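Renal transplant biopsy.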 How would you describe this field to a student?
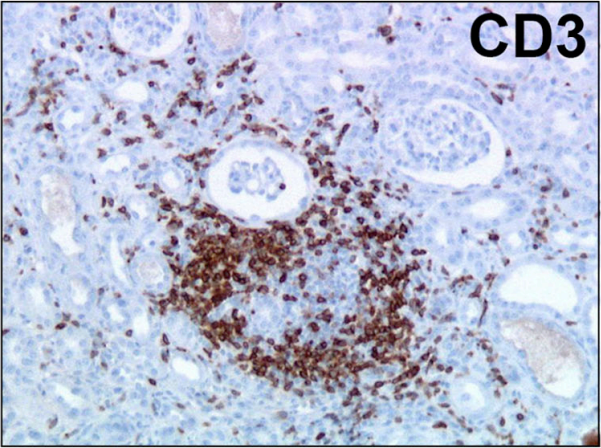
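The brown cells are small and round, crowding densely in the aggregate and also scattering singly through the interstitium between the blue-counterstained tubules. Within the aggregate there is a paler patch with fewer brown cells, so the stained cells are not spread evenly but arranged around it.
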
